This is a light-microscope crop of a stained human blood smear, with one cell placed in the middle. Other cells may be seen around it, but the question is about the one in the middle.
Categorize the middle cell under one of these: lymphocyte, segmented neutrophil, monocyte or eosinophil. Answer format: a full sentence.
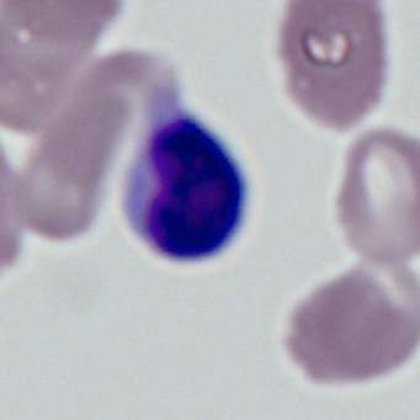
In this crop, the cell at the very middle is a lymphocyte.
